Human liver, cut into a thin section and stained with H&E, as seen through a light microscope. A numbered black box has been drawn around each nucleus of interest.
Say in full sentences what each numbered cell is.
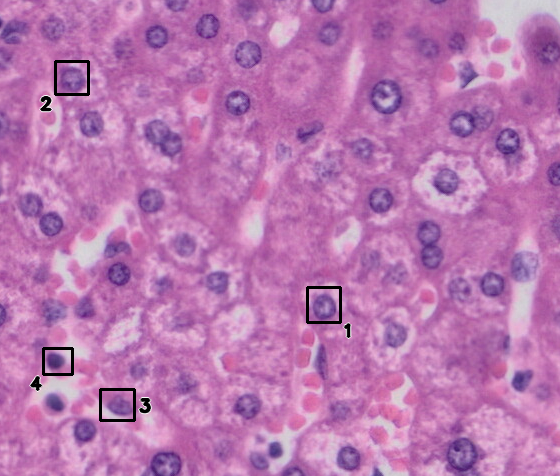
Cells 1 and 2 are hepatocytes. Cell 3 is a Kupffer cell. Cell 4 is a lymphocyte.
